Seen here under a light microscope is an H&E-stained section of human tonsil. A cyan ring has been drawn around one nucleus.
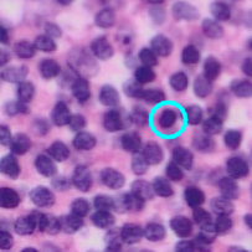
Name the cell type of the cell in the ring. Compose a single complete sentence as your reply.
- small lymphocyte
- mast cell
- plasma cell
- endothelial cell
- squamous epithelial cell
Typologically, the cell in the ring is a small lymphocyte in this section.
